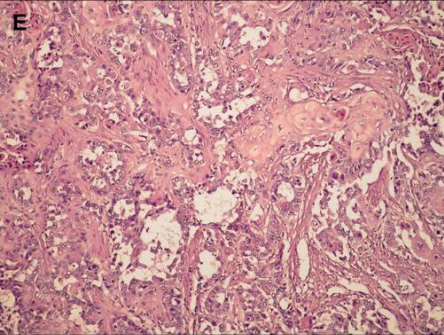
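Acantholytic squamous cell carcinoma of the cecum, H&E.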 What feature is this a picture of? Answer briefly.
Pseudoglandular formation.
